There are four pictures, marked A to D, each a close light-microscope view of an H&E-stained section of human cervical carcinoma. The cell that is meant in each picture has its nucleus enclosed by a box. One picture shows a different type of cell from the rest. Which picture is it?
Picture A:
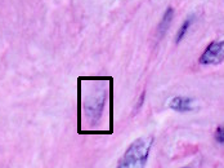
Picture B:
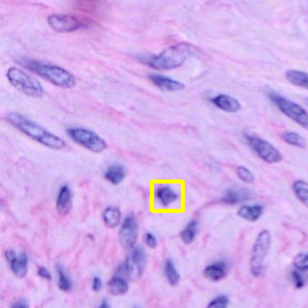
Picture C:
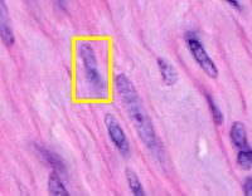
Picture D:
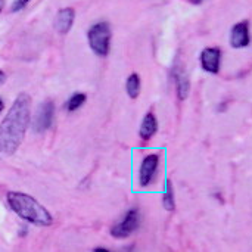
D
